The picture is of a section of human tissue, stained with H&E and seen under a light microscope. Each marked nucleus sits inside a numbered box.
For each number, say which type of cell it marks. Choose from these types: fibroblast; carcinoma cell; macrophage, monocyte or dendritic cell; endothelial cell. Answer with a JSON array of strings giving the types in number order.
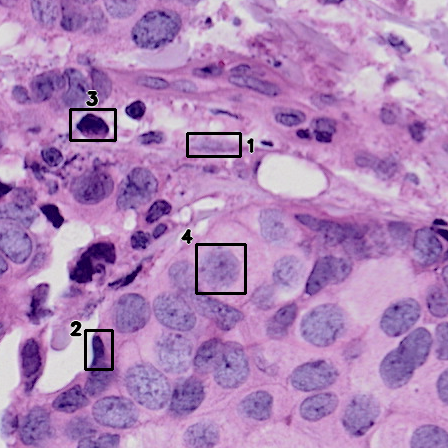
["fibroblast", "carcinoma cell", "carcinoma cell", "carcinoma cell"]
